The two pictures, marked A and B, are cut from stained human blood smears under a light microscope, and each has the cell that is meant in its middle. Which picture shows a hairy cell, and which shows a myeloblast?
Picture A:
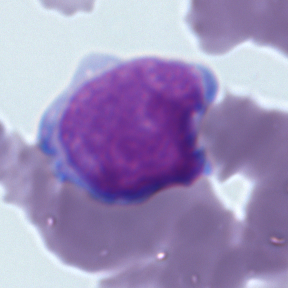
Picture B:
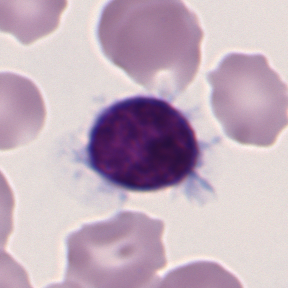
A: myeloblast
B: hairy cell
